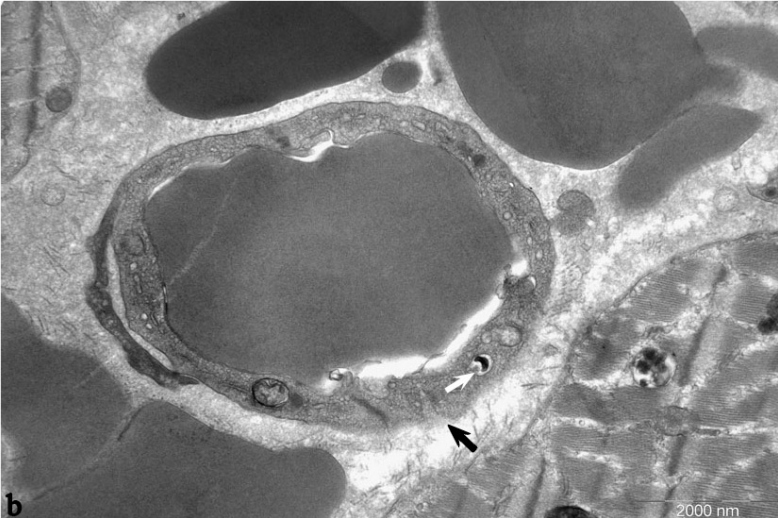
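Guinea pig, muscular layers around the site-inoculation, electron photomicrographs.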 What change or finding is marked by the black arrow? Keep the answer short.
damaged vascular basement membrane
